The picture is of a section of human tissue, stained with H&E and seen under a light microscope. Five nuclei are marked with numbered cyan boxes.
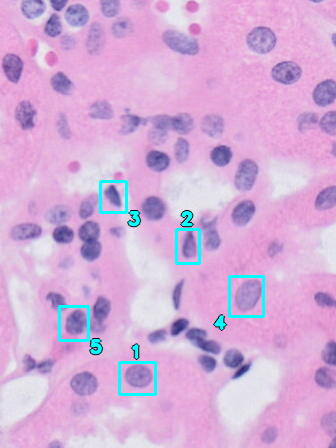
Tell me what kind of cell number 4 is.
proximal tubule cell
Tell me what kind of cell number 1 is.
proximal tubule cell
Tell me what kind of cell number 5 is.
collecting duct cell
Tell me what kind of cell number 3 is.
endothelial cell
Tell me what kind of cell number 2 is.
collecting duct cell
